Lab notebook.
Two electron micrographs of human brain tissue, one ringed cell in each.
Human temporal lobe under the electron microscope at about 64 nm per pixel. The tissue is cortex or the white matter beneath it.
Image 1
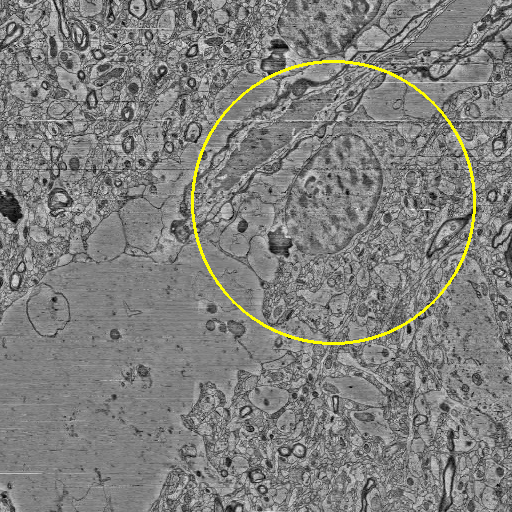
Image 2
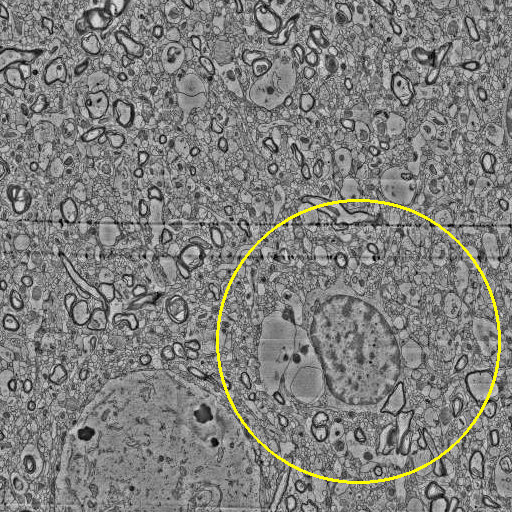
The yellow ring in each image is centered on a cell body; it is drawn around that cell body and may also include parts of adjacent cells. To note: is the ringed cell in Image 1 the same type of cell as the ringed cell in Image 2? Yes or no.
yes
